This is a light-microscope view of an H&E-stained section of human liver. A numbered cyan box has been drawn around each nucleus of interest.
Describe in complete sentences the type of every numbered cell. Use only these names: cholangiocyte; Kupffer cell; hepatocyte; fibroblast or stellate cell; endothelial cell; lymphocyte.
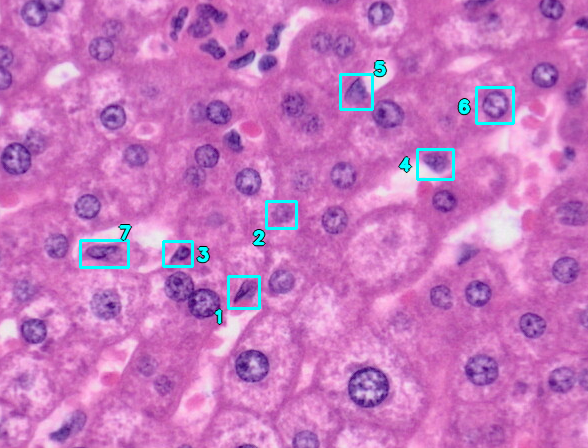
Cell 1 is an endothelial cell, cell 2 is a hepatocyte, cell 3 is a fibroblast or stellate cell, cell 4 is an endothelial cell, cell 5 is an endothelial cell, cell 6 is a hepatocyte and cell 7 is a Kupffer cell.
